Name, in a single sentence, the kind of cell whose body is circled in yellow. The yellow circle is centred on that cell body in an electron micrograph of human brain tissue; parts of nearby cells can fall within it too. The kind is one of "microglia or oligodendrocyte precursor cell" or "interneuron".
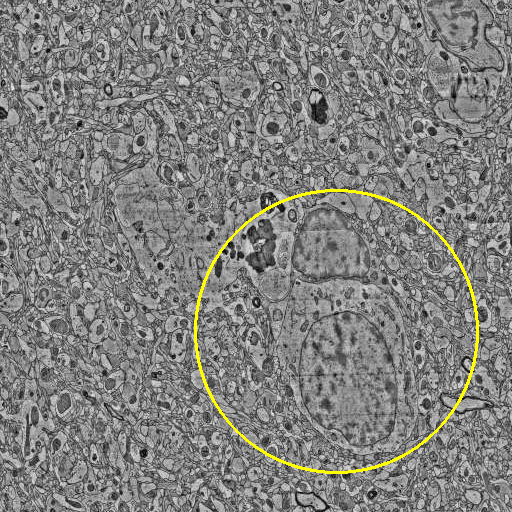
The circled cell body belongs to an interneuron.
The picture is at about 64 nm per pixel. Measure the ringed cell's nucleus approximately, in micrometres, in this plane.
The nucleus has a long axis of about 9 micrometres and a short axis of about 6 micrometres in this plane.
